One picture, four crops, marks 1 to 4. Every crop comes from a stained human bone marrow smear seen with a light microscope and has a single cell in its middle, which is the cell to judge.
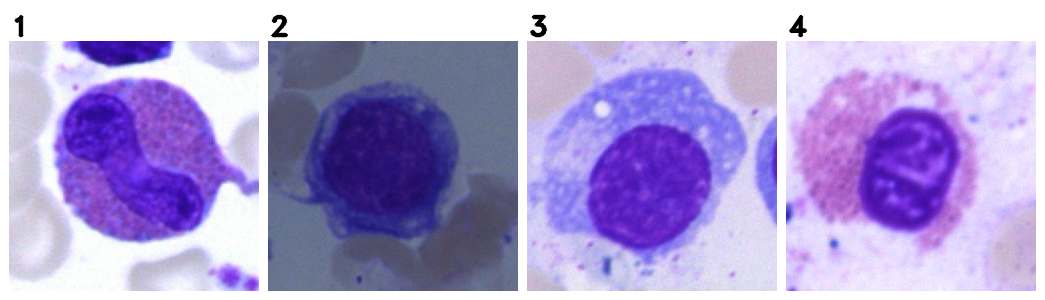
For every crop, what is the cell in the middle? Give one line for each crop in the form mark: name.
1: eosinophil
2: normoblast
3: plasma cell
4: basophil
